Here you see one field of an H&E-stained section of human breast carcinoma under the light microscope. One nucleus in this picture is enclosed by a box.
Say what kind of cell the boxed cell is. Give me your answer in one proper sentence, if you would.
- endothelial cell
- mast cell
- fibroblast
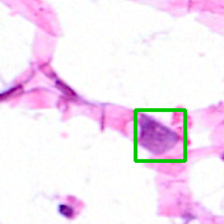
Assigned to a cell type, the boxed cell is an endothelial cell.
